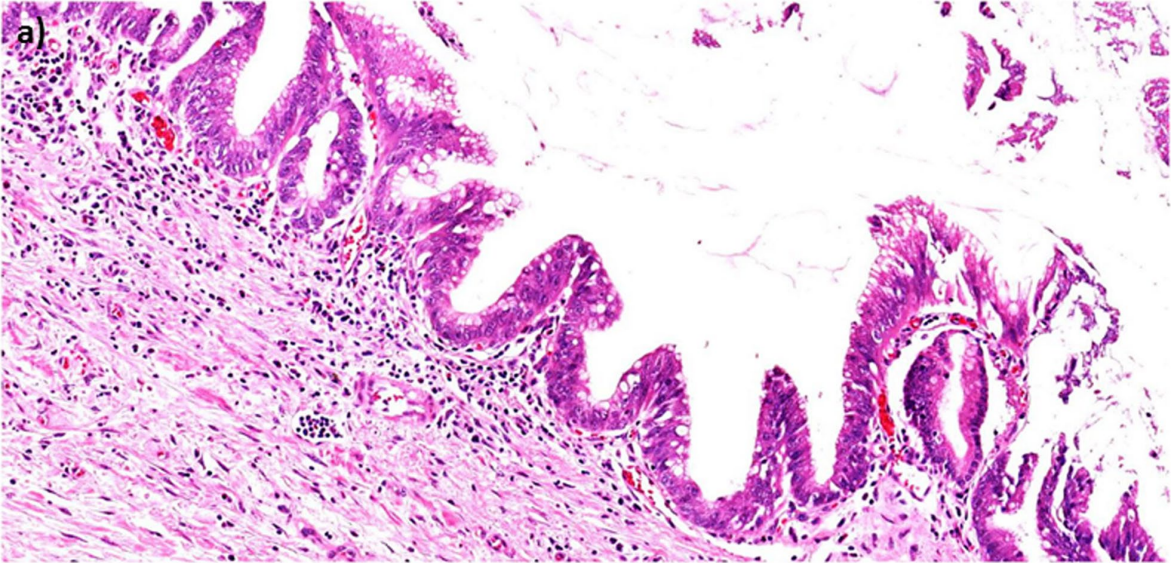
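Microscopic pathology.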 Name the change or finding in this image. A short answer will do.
Nuclear stratification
